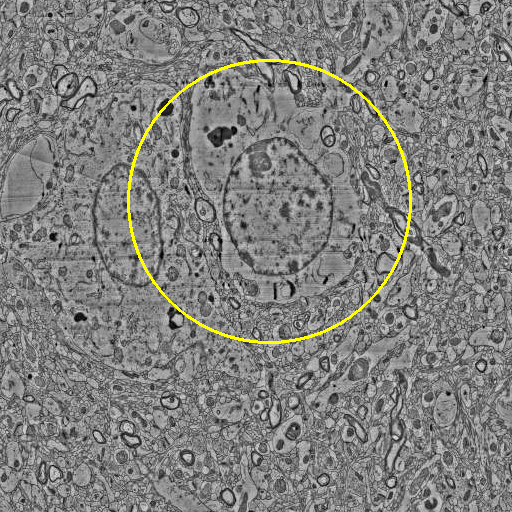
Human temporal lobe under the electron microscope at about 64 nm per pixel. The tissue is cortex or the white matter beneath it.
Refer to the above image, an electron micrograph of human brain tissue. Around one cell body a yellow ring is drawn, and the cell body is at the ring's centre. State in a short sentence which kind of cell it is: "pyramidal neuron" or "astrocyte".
The centre of the ring falls on an astrocyte.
